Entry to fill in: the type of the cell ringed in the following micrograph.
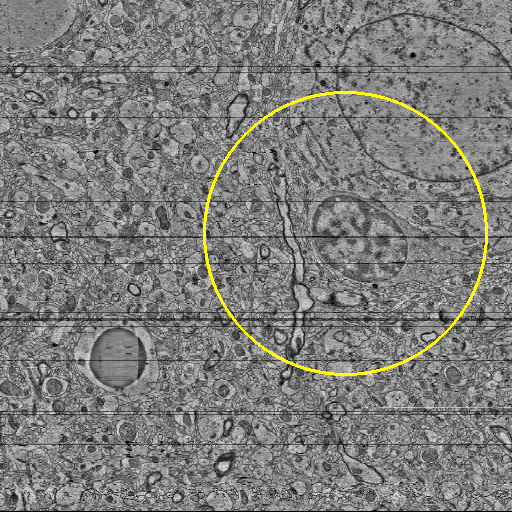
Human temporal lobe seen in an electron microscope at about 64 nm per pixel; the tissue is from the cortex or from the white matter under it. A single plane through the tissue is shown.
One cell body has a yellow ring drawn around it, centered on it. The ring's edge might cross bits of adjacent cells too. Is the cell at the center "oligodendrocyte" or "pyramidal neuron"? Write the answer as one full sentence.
This entry names an oligodendrocyte as the cell whose body lies at the ring's center.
